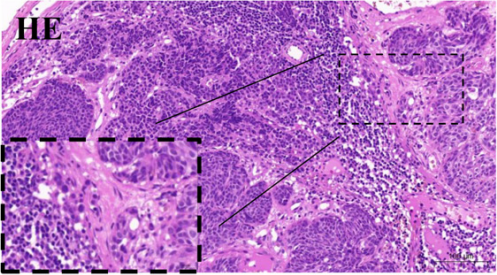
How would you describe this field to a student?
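This section shows tumor tissue made of crowded, dark purple cells gathered into rounded nests and irregular cords. The nests are separated by strands of pale pink fibrous stroma that contain small vessels. In the centre a band of densely packed small round dark nuclei lies between the nests.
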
